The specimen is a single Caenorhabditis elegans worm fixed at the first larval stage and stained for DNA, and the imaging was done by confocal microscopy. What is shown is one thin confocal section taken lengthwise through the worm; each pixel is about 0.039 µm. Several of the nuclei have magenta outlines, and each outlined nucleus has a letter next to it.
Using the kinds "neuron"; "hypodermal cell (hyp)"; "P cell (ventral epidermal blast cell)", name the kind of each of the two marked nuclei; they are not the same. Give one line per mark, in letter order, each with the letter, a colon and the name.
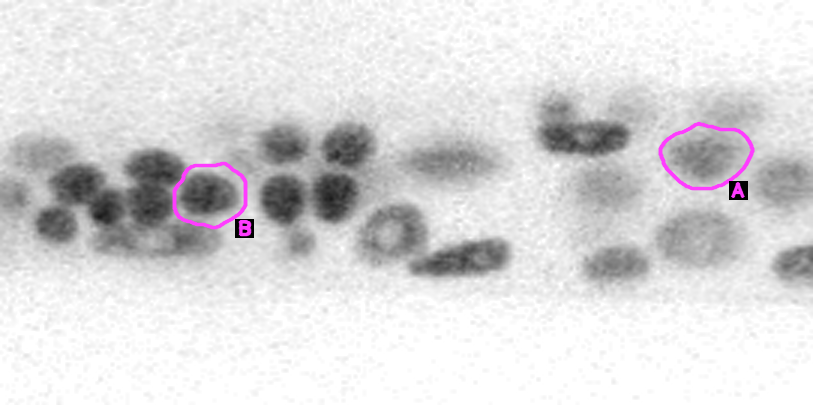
A: P cell (ventral epidermal blast cell)
B: neuron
